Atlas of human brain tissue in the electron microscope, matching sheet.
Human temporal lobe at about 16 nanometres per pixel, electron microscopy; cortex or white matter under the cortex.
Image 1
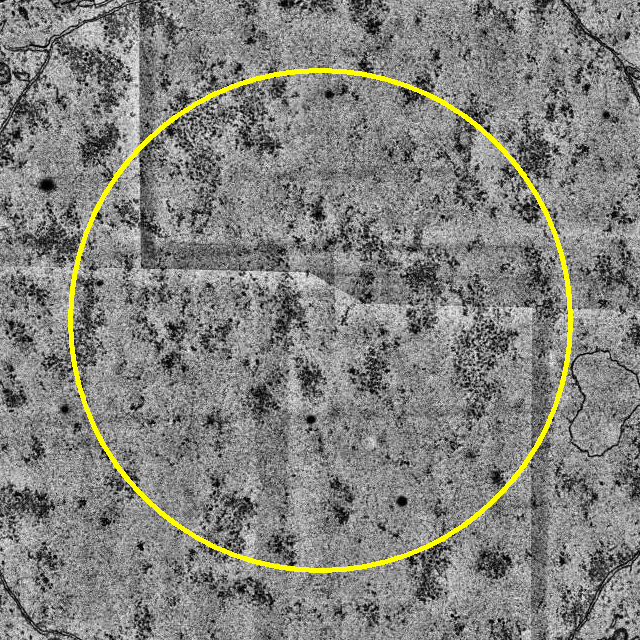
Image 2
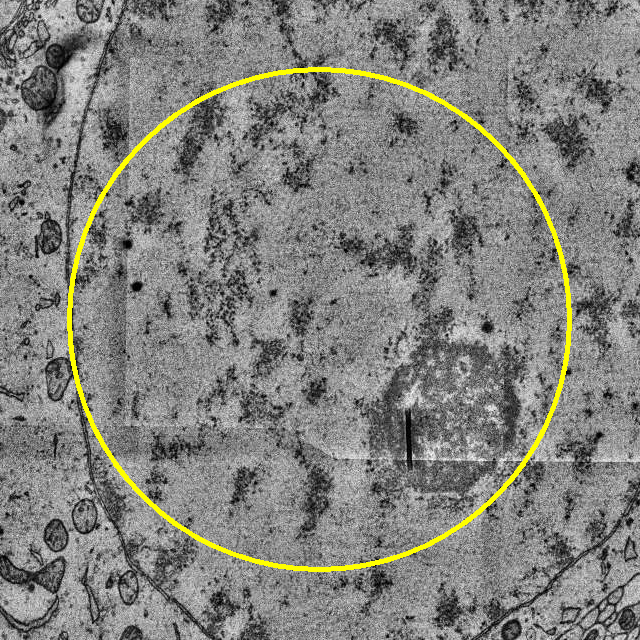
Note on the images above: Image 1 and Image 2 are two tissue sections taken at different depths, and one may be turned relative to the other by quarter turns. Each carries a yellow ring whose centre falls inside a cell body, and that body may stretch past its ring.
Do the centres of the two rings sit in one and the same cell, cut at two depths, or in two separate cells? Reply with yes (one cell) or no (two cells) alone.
no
